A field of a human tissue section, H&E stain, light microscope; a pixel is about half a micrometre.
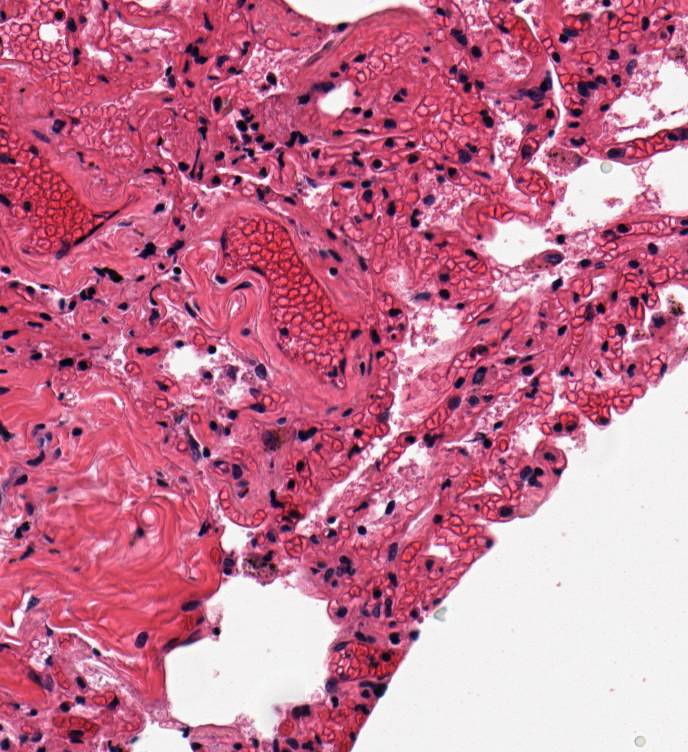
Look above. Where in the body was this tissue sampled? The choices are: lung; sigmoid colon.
lung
